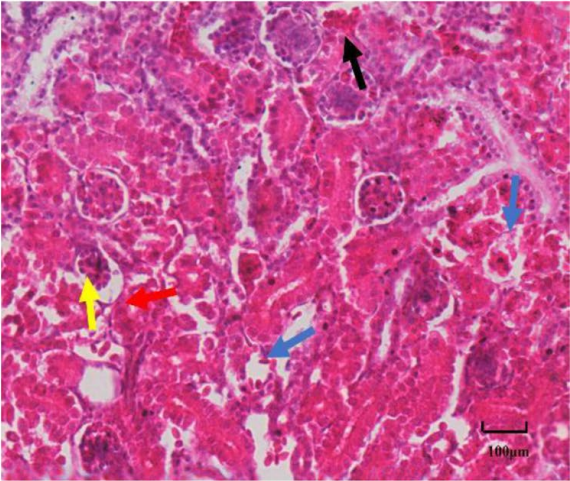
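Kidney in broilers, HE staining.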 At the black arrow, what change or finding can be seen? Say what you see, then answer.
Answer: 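Interstitial congestion and/or hemorrhage. The arrow points to a cluster of small bright red cells outside the tubules. The red cells lie between tubular profiles.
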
